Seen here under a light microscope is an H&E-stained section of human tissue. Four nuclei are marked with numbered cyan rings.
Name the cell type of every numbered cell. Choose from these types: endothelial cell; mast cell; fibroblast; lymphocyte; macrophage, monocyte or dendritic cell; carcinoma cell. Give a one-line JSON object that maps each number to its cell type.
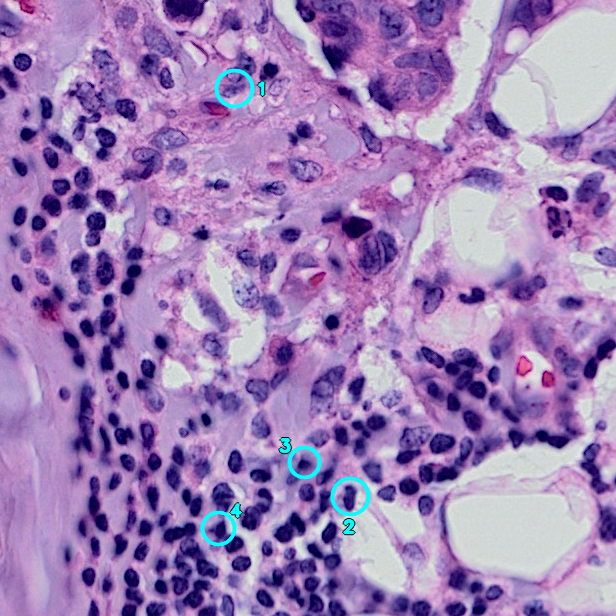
{"1": "endothelial cell", "2": "lymphocyte", "3": "lymphocyte", "4": "lymphocyte"}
